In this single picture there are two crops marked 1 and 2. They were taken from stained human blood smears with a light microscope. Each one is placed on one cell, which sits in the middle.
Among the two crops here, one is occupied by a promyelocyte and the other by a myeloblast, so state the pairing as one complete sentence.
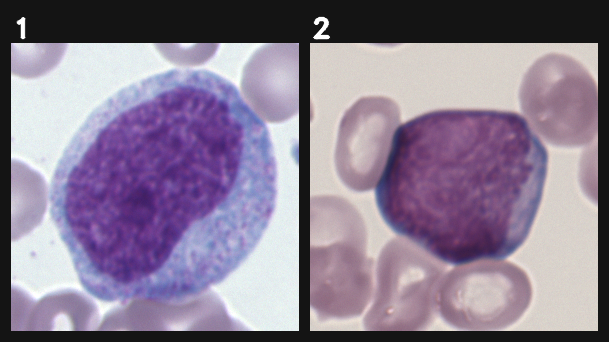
Crops 1 and 2 are, respectively, a promyelocyte and a myeloblast.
